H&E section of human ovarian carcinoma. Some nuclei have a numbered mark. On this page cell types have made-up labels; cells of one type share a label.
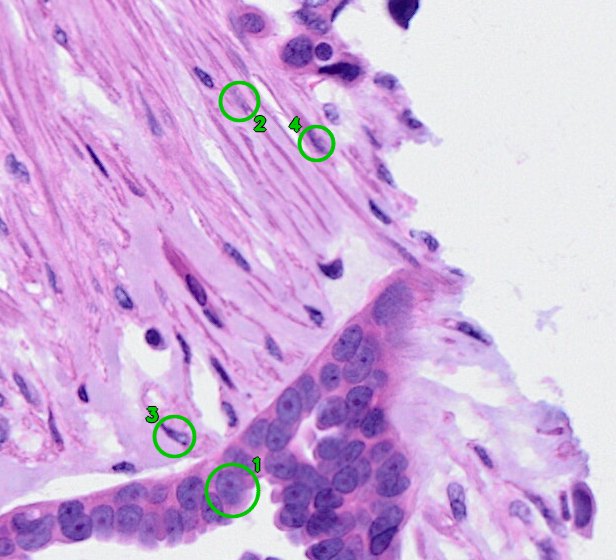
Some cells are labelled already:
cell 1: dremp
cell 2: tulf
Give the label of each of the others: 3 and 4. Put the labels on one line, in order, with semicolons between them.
tulf; tulf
